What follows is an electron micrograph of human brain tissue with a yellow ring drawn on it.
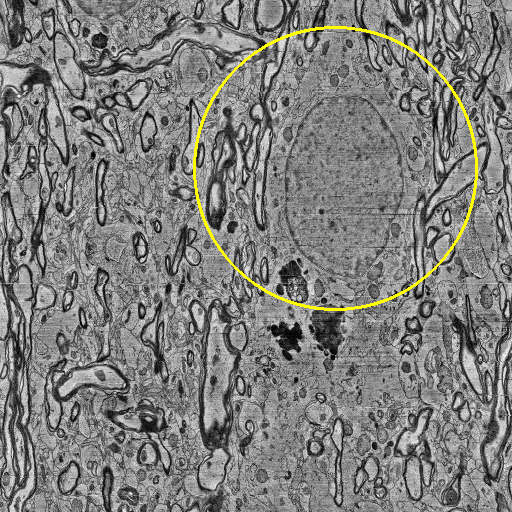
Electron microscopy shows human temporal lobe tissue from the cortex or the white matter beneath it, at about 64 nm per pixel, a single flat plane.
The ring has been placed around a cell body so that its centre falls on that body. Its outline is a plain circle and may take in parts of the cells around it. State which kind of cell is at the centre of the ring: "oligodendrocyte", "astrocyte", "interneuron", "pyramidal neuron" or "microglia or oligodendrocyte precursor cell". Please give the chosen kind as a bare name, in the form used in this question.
astrocyte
